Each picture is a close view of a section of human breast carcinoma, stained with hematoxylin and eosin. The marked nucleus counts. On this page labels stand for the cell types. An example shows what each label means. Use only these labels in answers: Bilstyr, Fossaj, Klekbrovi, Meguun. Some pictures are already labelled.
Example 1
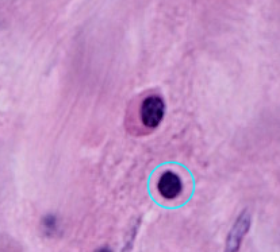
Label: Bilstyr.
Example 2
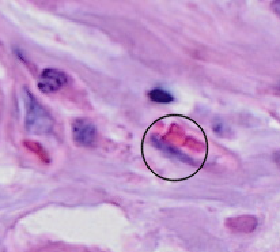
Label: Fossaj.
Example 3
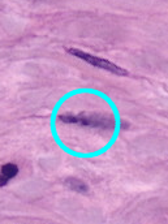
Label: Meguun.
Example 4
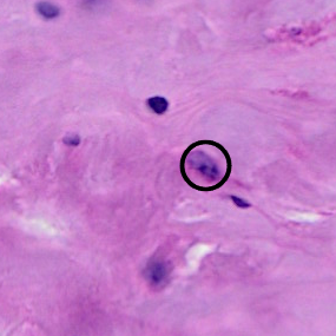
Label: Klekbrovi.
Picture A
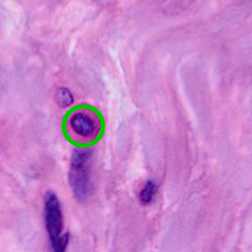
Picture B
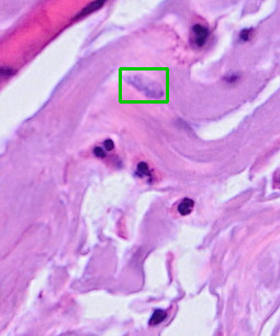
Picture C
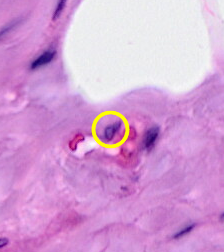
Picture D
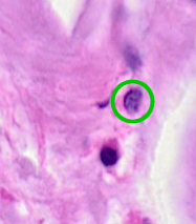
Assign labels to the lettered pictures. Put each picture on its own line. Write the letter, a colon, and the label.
A: Klekbrovi.
B: Meguun.
C: Fossaj.
D: Klekbrovi.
